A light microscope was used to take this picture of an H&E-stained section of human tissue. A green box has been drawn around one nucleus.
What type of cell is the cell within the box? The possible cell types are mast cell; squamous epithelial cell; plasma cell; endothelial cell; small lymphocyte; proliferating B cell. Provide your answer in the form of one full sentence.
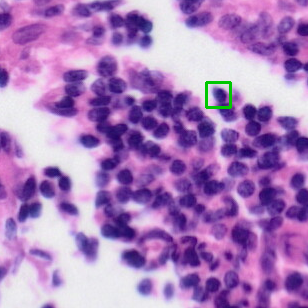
Right, so the cell within the box is a small lymphocyte, to answer that.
